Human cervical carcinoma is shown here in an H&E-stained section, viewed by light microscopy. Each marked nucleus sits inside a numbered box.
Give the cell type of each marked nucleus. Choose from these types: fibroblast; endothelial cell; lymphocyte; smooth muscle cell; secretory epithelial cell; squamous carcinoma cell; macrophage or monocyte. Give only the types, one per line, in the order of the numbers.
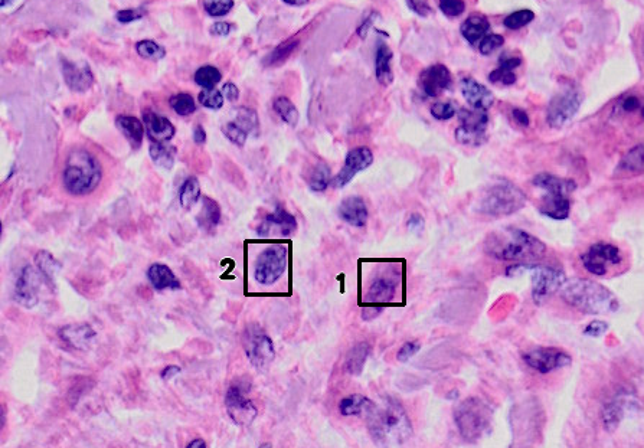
macrophage or monocyte
lymphocyte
